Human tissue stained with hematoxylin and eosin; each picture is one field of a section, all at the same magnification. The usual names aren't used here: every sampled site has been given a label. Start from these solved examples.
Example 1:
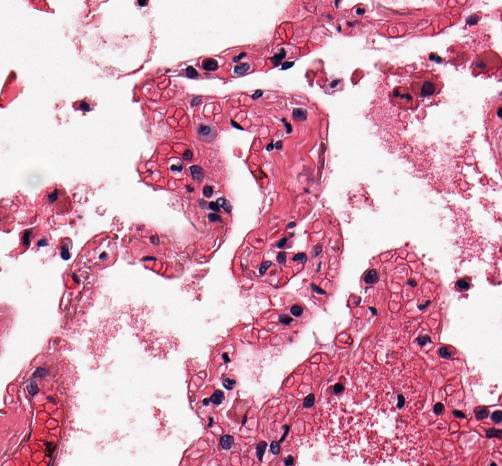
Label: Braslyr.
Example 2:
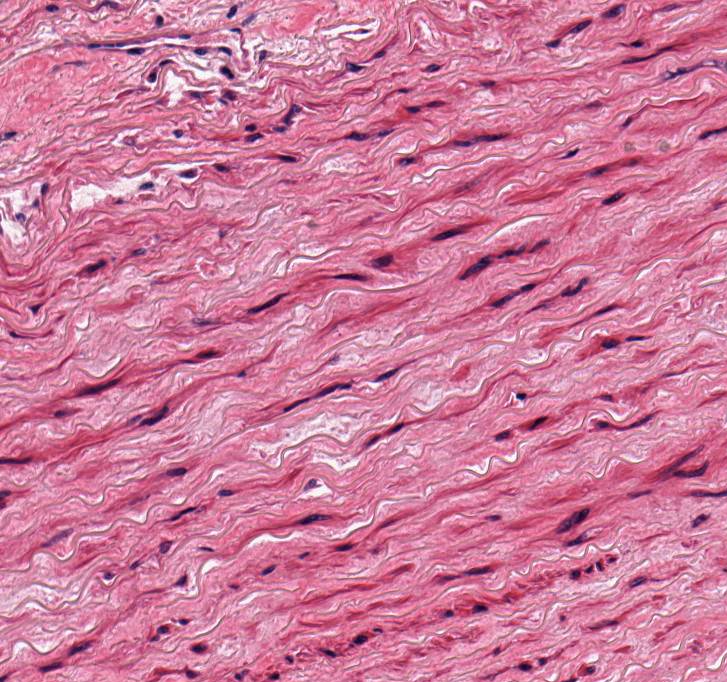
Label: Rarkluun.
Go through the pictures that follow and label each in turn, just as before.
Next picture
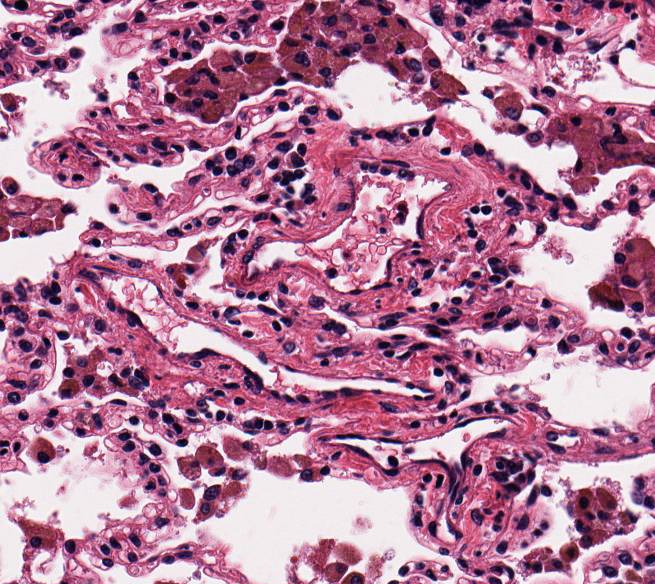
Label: Braslyr.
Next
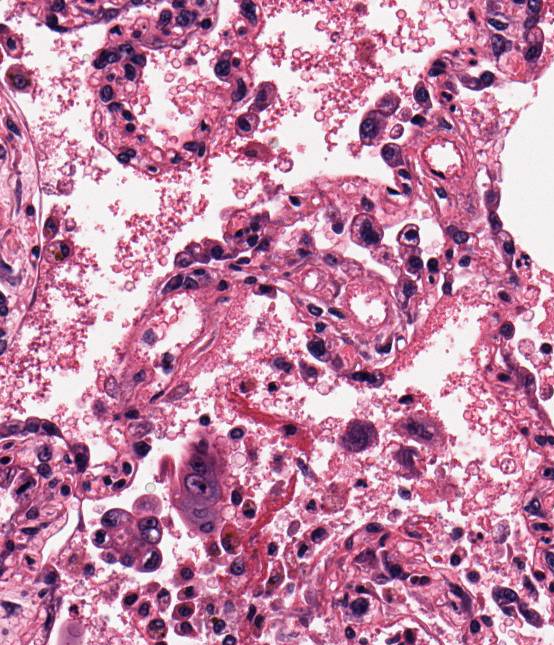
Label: Braslyr.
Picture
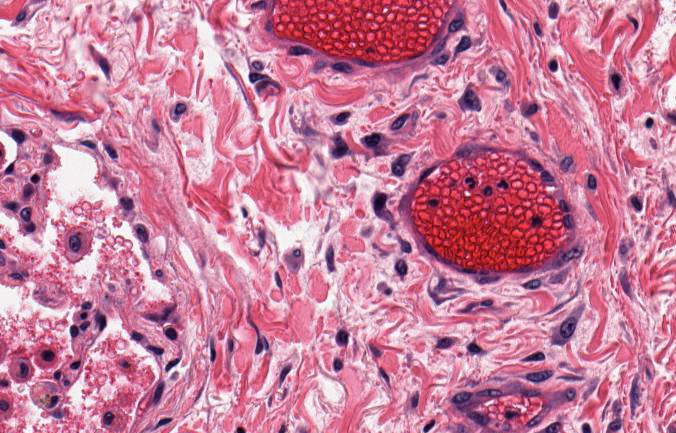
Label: Braslyr.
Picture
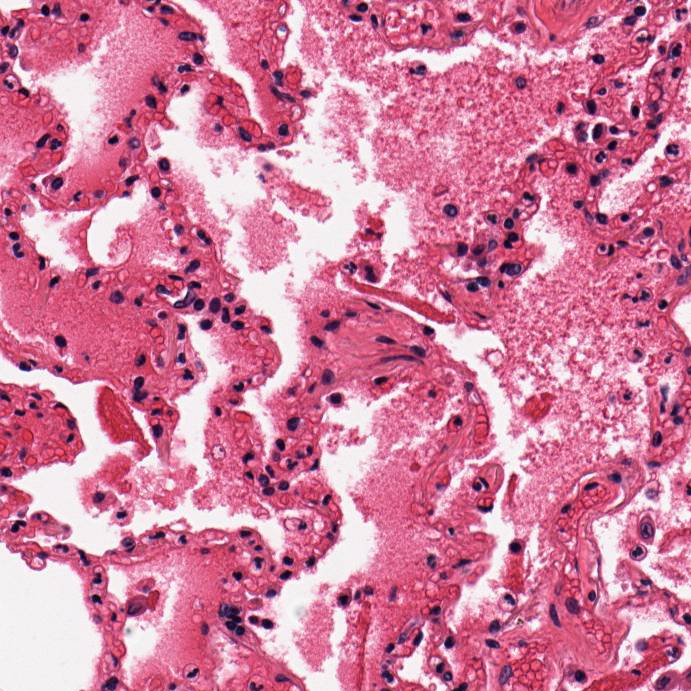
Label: Braslyr.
